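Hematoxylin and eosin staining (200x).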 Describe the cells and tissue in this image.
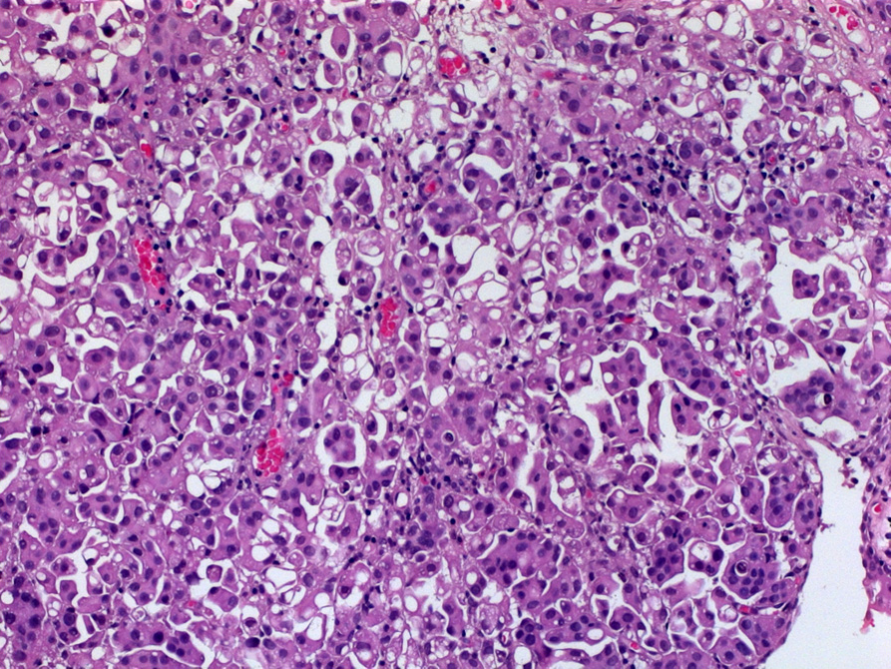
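This shows a carcinoma whose medium sized tumor cells gather in small nests and clusters, each lying within a clear, empty-looking space. The nests are separated by thin, delicate strands of tissue in which small vessels filled with red blood cells run. Small, dark, round nuclei of scattered inflammatory cells lie between the nests. The overall pattern is crowded and sheet-like, with the clear spaces giving the tumor a lacy, honeycombed look.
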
